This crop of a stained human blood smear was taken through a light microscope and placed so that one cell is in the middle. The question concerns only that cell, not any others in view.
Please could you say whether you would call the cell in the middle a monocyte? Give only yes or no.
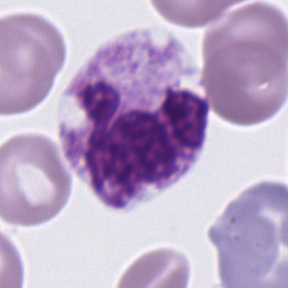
no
